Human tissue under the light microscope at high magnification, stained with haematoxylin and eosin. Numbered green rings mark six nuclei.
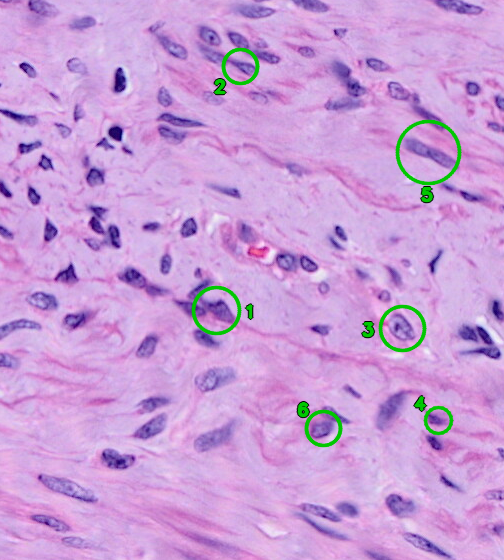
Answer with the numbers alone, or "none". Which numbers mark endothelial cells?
1, 3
